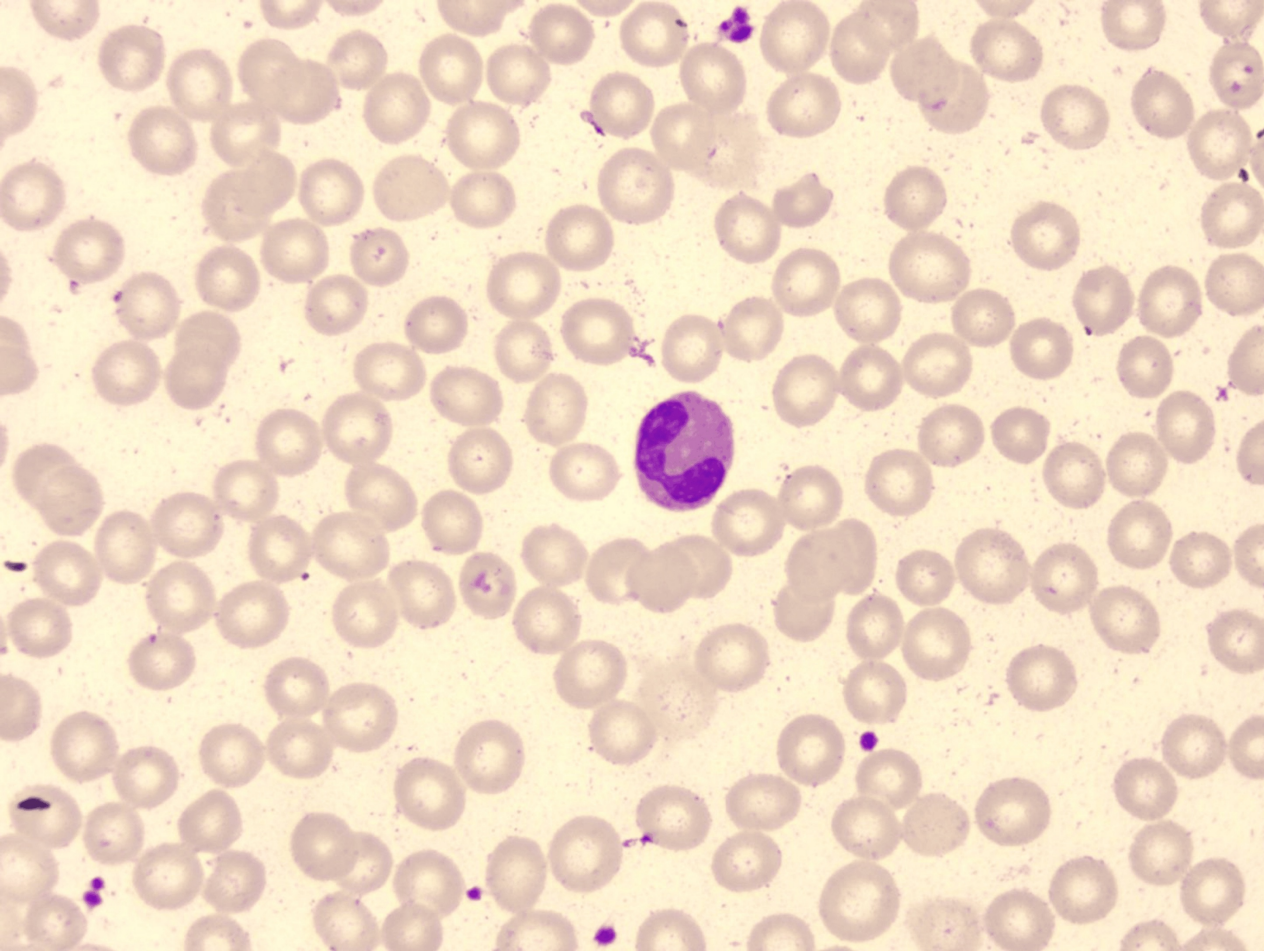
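A peripheral blood smear shows a single granulocyte at the centre of the field, surrounded by numerous red blood cells. The granulocyte is round, with a dark purple nucleus folded into two lobes and an abundant pinkish-lilac, finely granular cytoplasm. The red cells are round, fairly uniform discs with central pallor, mostly lying separately with a few overlapping. Small dark purple platelets are scattered between the red cells.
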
